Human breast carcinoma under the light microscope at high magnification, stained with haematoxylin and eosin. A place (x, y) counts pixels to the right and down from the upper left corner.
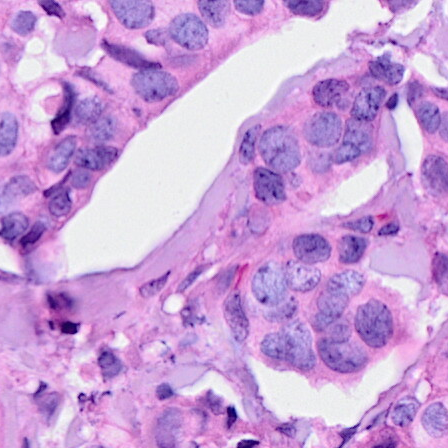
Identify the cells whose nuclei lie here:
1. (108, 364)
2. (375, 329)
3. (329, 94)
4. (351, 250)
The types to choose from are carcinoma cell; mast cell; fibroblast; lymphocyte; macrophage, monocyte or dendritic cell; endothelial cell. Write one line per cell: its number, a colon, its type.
1: macrophage, monocyte or dendritic cell
2: carcinoma cell
3: carcinoma cell
4: carcinoma cell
